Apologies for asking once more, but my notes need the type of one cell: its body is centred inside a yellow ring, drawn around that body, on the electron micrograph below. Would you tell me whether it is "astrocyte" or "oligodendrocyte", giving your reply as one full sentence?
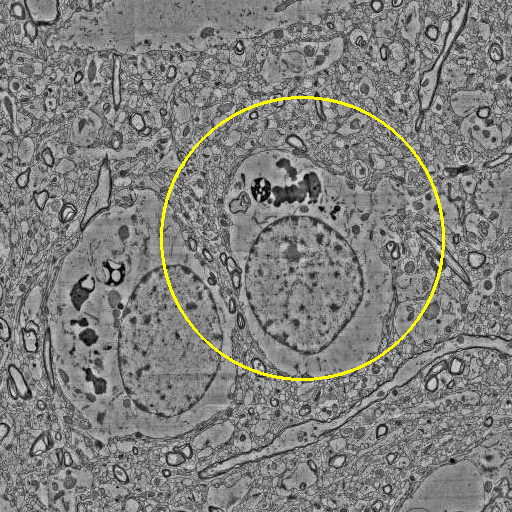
The cell that the yellow ring is centred on is an astrocyte in this micrograph.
